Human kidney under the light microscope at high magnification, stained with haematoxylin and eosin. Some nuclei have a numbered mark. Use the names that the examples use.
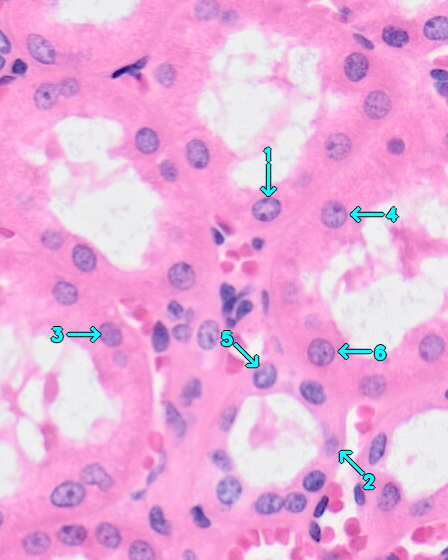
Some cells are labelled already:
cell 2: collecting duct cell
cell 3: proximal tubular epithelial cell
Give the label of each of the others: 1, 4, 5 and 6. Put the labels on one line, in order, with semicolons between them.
proximal tubular epithelial cell; proximal tubular epithelial cell; collecting duct cell; proximal tubular epithelial cell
